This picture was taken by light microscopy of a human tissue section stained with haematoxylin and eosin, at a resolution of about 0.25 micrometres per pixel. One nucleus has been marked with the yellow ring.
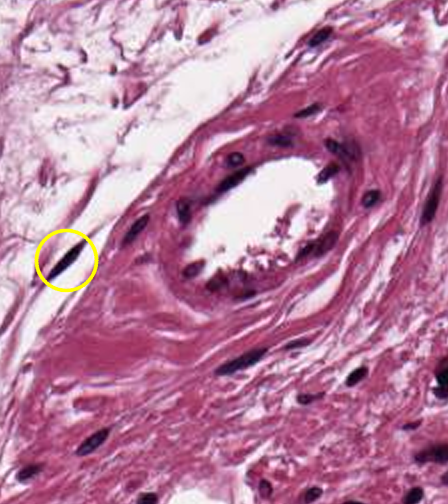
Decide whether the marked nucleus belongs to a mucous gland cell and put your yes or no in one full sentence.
No, it is a supporting cell, not a mucous gland cell, to which the marked nucleus belongs.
